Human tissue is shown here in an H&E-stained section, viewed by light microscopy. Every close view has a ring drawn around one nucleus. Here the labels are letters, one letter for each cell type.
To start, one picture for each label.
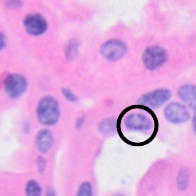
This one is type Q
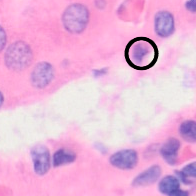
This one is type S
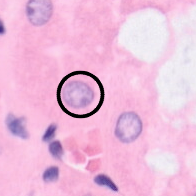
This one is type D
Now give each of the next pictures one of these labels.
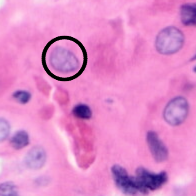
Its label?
type D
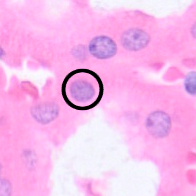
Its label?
type D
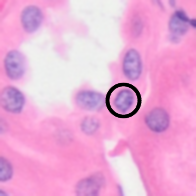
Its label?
type Q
